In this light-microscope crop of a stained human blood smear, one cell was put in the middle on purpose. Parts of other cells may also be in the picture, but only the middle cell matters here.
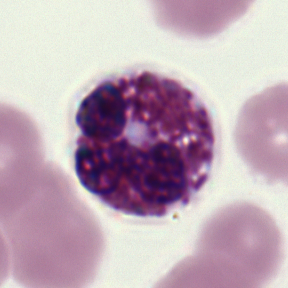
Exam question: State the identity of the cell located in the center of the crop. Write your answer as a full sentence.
The center cell of this crop is an eosinophil.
